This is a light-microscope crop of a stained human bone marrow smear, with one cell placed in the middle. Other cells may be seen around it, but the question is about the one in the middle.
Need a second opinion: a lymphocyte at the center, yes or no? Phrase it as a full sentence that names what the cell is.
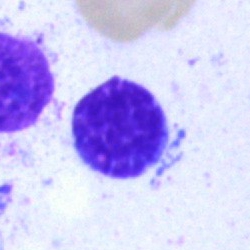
Yes, this is a lymphocyte, the cell in the middle of the crop.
